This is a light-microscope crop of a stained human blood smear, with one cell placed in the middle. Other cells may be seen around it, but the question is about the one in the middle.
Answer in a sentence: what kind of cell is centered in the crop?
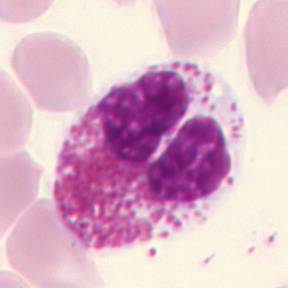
This crop has an eosinophil at its centre.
